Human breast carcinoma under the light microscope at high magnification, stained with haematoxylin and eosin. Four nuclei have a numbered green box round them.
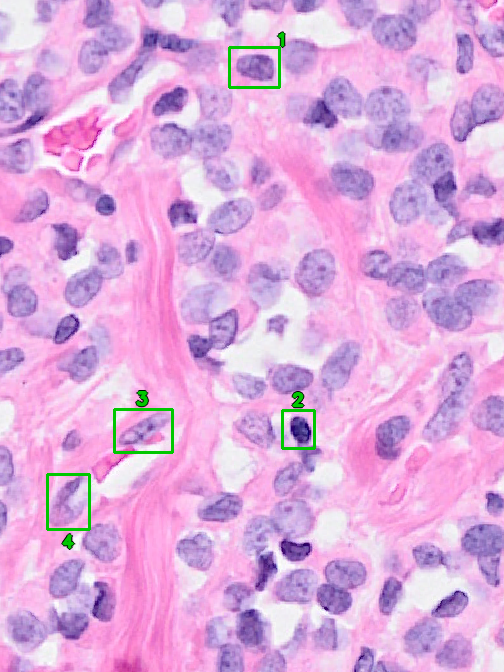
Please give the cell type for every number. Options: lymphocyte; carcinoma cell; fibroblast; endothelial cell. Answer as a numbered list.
1. carcinoma cell
2. lymphocyte
3. endothelial cell
4. endothelial cell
